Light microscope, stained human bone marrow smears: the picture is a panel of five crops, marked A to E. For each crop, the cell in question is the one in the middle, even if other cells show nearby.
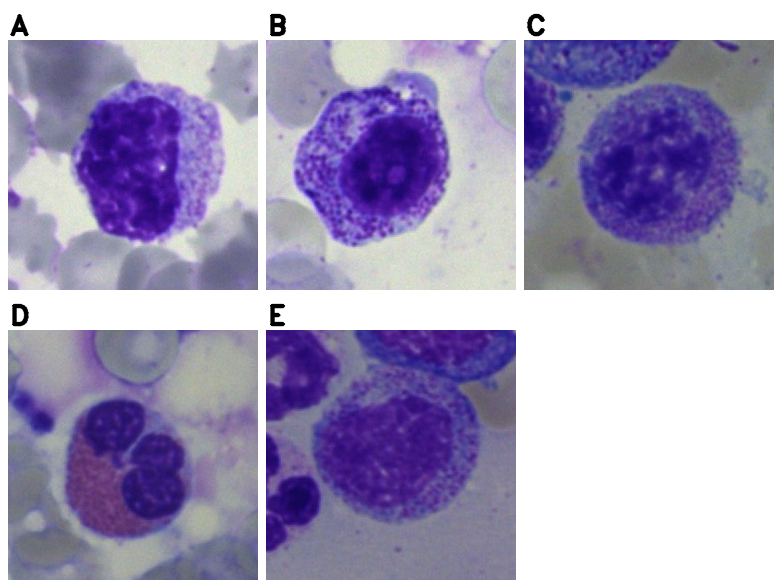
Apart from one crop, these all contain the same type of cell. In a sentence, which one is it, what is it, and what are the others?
Crop D is the only crop with an eosinophil, the others all showing myelocytes.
